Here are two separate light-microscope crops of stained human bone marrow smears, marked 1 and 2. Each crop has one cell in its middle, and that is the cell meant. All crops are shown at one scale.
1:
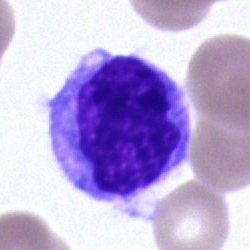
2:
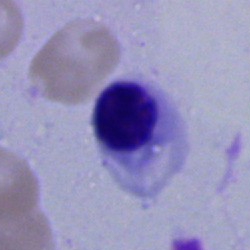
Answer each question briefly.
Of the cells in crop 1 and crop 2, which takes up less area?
2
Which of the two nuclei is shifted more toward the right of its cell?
1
